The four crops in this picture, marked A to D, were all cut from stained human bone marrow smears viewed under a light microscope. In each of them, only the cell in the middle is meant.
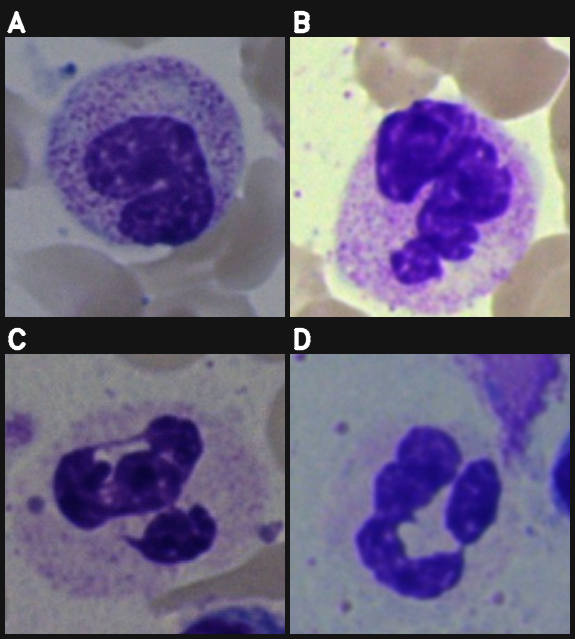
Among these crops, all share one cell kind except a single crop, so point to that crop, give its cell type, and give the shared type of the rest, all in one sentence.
Crop A, showing a band neutrophil, is the exception; the others all show segmented neutrophils.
